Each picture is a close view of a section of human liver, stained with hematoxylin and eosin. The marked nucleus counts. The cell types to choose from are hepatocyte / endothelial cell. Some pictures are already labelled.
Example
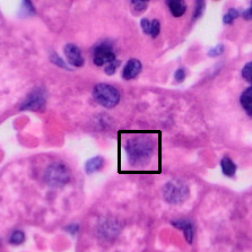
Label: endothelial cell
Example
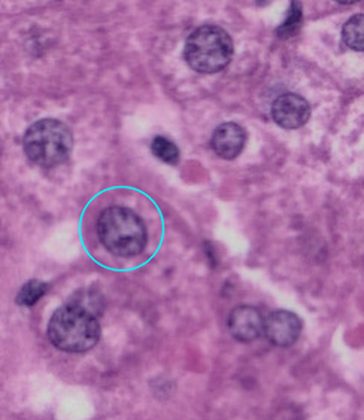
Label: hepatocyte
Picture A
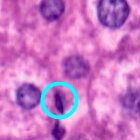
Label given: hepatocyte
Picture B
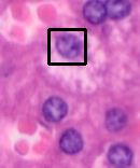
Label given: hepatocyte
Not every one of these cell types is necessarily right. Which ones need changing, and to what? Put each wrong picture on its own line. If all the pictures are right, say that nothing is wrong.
A: change hepatocyte to endothelial cell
